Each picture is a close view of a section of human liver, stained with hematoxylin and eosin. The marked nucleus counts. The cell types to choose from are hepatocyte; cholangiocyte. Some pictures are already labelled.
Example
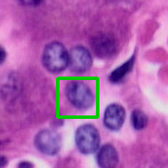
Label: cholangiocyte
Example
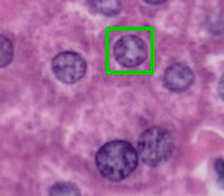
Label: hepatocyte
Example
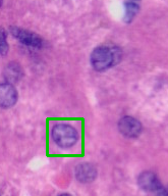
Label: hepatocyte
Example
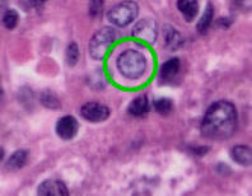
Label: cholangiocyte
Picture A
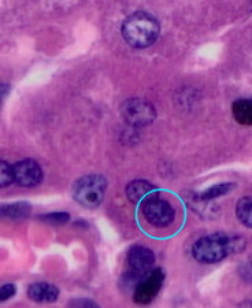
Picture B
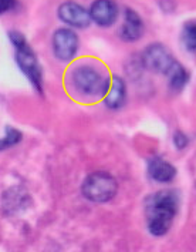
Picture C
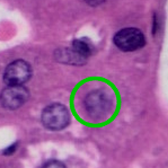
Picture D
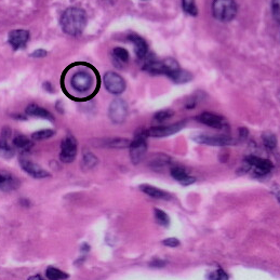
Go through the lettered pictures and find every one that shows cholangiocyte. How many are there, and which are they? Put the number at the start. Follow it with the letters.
3: A, B, D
